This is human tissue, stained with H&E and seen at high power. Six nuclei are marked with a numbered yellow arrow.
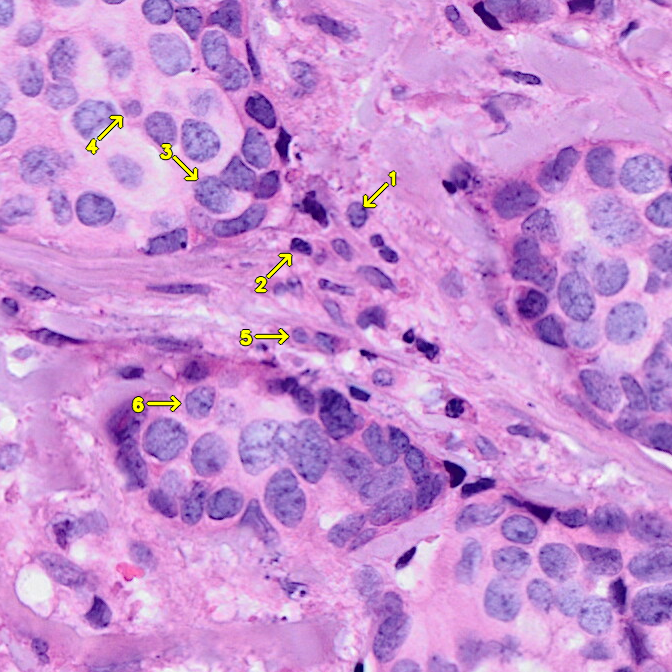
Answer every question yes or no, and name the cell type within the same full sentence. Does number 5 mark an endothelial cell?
Yes, the cell given number 5 is an endothelial cell.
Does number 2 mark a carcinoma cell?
No, rather than a carcinoma cell, cell number 2 is a lymphocyte.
